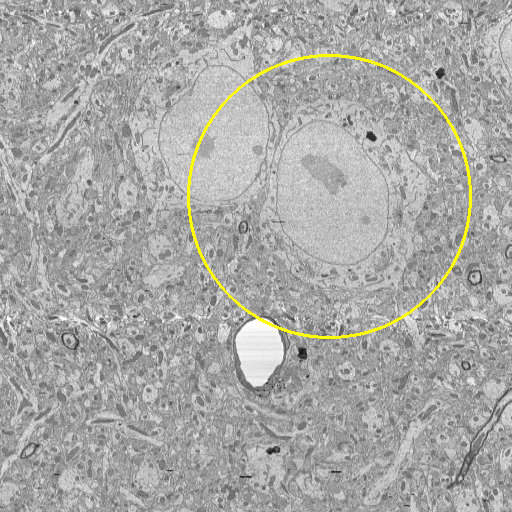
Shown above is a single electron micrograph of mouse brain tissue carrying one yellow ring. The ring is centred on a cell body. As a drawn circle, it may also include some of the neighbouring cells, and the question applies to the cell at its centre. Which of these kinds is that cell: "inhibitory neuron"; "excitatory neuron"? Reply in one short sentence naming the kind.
The cell marked by the ring is an excitatory neuron.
